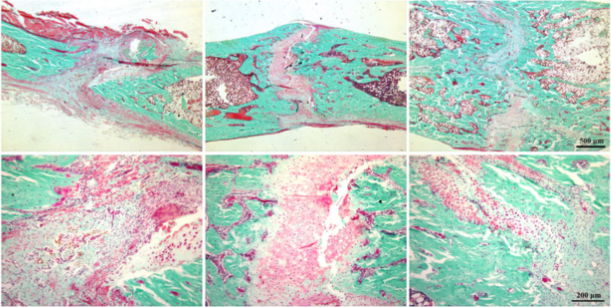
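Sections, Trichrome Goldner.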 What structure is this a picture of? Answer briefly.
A: Callus.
